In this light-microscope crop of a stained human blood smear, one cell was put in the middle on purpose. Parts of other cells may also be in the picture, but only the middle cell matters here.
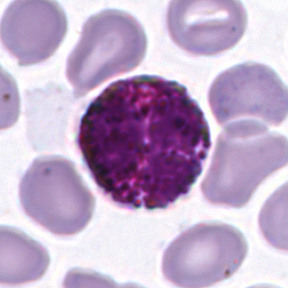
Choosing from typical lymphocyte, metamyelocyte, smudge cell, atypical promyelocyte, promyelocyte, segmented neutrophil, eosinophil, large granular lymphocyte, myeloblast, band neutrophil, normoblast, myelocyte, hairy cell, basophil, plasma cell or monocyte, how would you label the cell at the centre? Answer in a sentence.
The cell at the centre of the field is a basophil.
